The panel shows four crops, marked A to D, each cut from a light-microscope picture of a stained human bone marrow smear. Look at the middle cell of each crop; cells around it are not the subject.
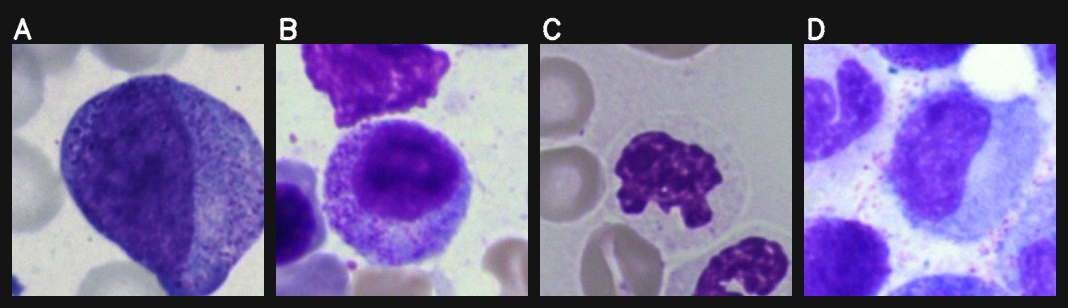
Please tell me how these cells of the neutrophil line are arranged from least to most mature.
A, B, D, C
